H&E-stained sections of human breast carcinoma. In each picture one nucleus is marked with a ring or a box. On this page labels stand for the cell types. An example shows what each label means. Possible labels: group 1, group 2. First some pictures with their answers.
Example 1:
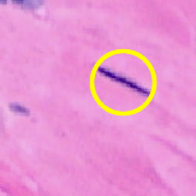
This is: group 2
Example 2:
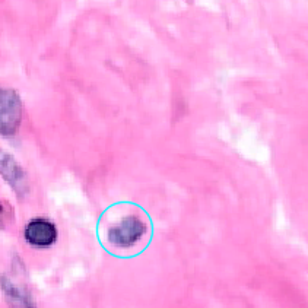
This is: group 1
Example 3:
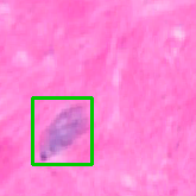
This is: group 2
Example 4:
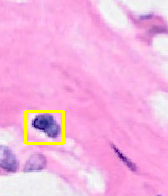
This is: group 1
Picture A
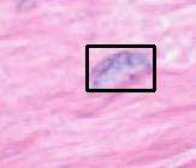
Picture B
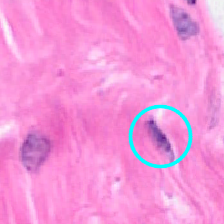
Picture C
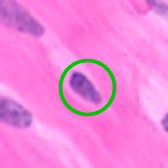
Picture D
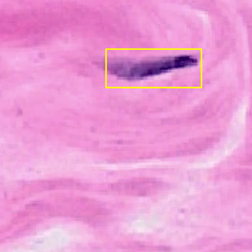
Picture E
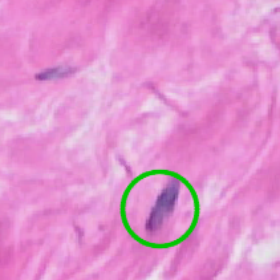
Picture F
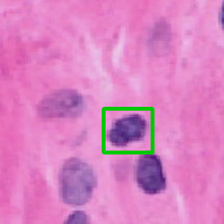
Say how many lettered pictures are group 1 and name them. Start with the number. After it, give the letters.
2: C, F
